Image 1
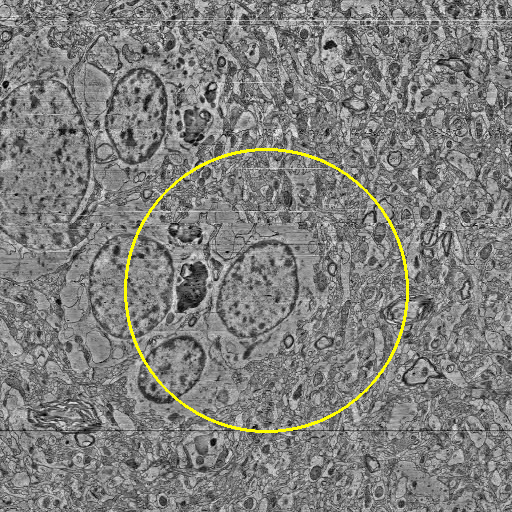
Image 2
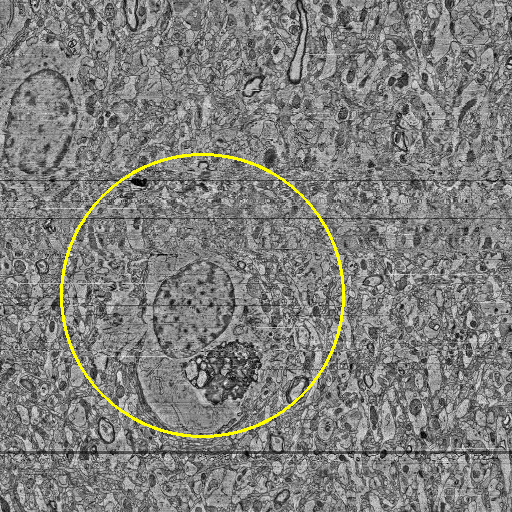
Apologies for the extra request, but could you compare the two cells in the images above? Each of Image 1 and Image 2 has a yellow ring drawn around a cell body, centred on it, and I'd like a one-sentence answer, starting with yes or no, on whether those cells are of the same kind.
Yes, both cells are of the same kind.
